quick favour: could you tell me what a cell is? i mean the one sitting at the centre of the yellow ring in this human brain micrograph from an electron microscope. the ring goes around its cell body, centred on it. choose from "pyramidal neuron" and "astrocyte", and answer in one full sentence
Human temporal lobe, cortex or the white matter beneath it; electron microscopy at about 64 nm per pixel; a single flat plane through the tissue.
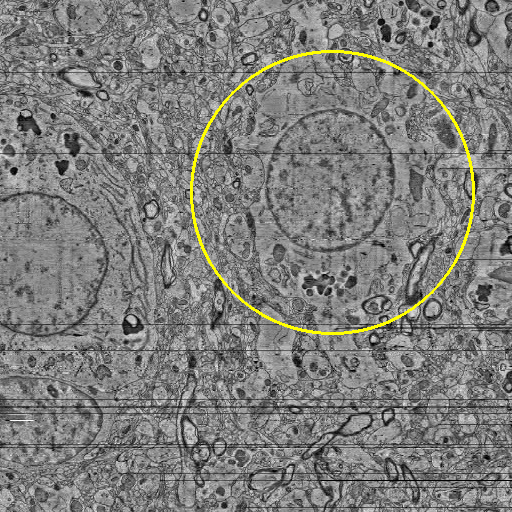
That's an astrocyte, the cell sitting at the centre of the yellow ring.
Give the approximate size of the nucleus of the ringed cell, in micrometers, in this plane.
The nucleus works out at approximately 9 by 8 micrometres in this plane.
